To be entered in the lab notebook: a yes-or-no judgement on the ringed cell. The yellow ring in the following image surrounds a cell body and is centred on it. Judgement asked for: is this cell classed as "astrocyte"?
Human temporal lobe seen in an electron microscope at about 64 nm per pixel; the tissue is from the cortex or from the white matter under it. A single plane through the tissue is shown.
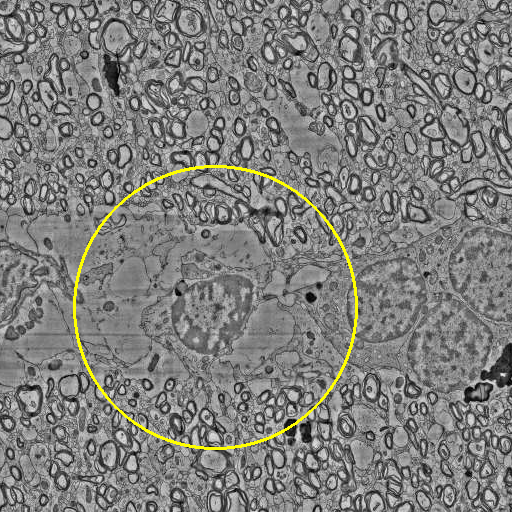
No, it falls in another class.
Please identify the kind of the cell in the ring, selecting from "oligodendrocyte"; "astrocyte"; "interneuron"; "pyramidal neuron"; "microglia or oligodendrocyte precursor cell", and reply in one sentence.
Instead, the ring in this picture marks a microglial cell or oligodendrocyte precursor cell.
